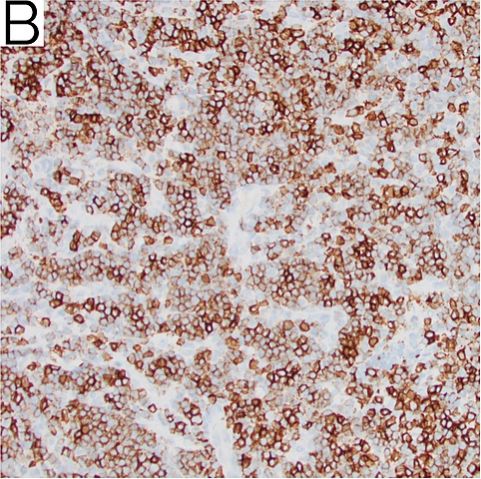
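This section shows sheets of small lymphocytes with a brown stain outlining the membrane of most cells. The brown rings surround small round nuclei, giving a honeycomb pattern across the sheets.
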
